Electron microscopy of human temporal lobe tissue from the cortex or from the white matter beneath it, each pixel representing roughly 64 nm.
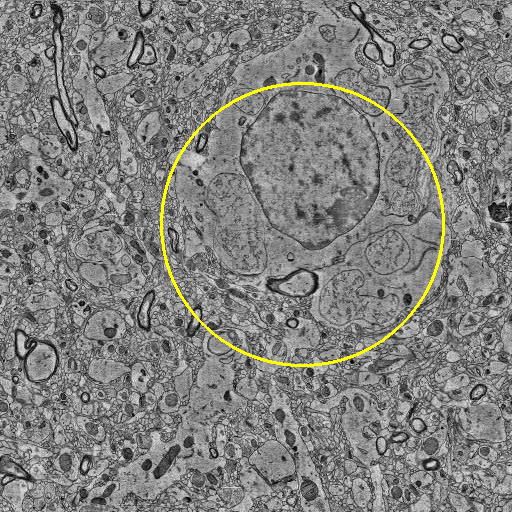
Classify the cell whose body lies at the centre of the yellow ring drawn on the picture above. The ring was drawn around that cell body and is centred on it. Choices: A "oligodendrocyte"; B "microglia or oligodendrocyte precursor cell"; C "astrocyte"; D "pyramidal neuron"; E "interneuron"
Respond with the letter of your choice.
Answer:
C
